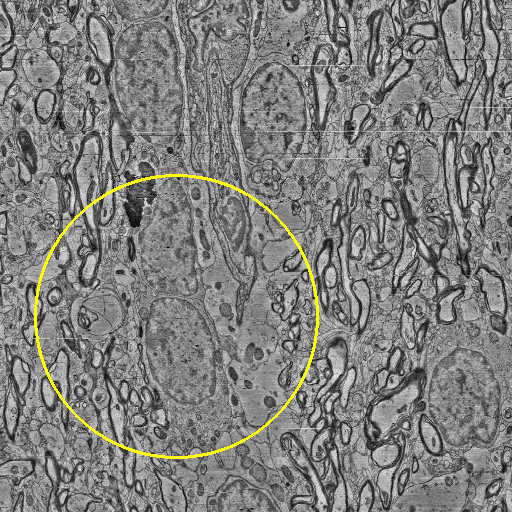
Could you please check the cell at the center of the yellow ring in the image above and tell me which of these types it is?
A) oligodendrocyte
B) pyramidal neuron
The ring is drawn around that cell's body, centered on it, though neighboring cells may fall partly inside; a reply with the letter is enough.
A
